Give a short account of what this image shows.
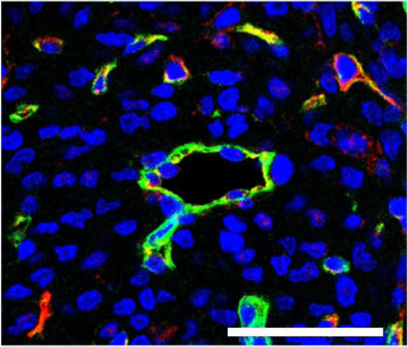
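A larger vessel with an open, irregular lumen sits in the centre, its lining of thin, flattened cells outlined mainly in green. Smaller capillaries nearby are outlined in green, red or a yellow mixture of both. The vessel walls are only one cell thick.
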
